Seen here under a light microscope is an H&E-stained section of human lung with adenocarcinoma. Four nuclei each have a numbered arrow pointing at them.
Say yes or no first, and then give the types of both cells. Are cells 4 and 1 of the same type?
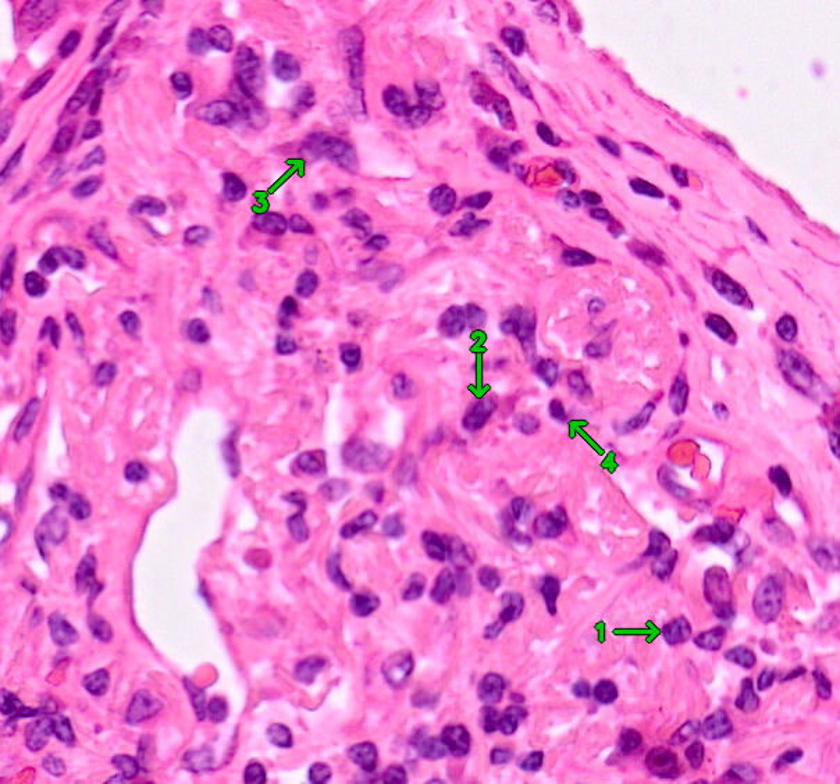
Yes, cell 4 is one of the lymphocytes, and so is cell 1.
